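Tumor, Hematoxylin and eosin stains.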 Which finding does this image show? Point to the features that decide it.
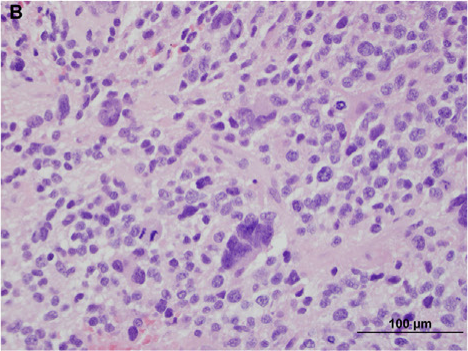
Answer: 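Mitotic figures. A few cells have dark, clumped, irregular chromatin instead of an open nucleus. Near the centre a large cell shows a dark, lobulated chromatin mass.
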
